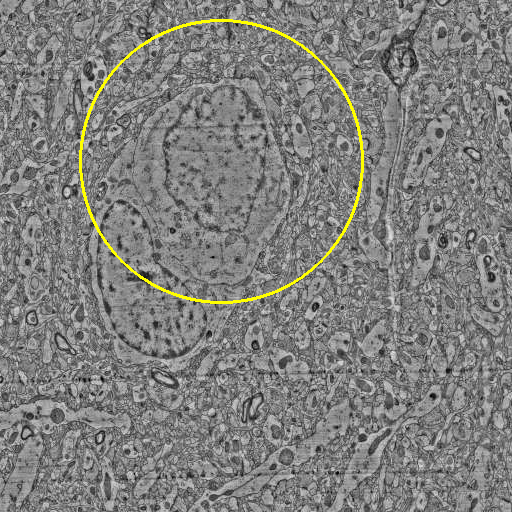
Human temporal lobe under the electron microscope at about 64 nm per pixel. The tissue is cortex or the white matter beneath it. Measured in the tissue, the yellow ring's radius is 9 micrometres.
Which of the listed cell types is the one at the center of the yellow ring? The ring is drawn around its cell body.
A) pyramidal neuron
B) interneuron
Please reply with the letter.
B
